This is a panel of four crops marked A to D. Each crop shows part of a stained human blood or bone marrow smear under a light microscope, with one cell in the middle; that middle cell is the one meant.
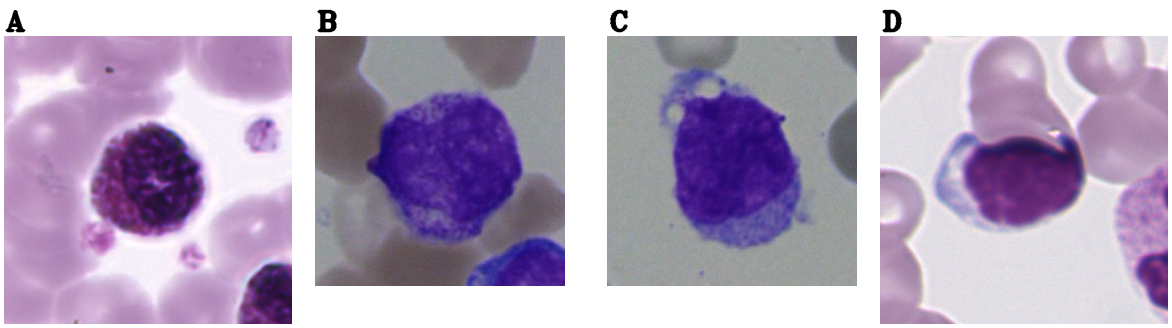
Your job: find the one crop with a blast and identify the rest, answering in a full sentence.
The crop marked C contains a blast, while crop A is an eosinophil, crop B is a myelocyte and crop D is a lymphocyte.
